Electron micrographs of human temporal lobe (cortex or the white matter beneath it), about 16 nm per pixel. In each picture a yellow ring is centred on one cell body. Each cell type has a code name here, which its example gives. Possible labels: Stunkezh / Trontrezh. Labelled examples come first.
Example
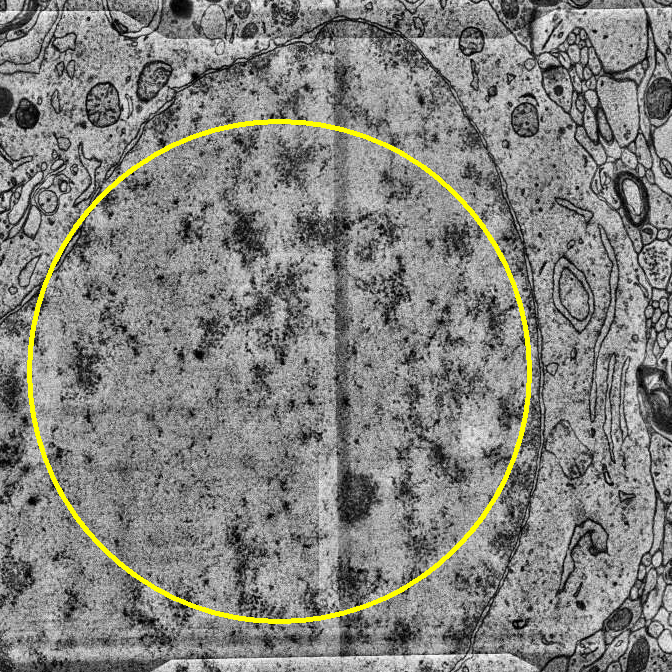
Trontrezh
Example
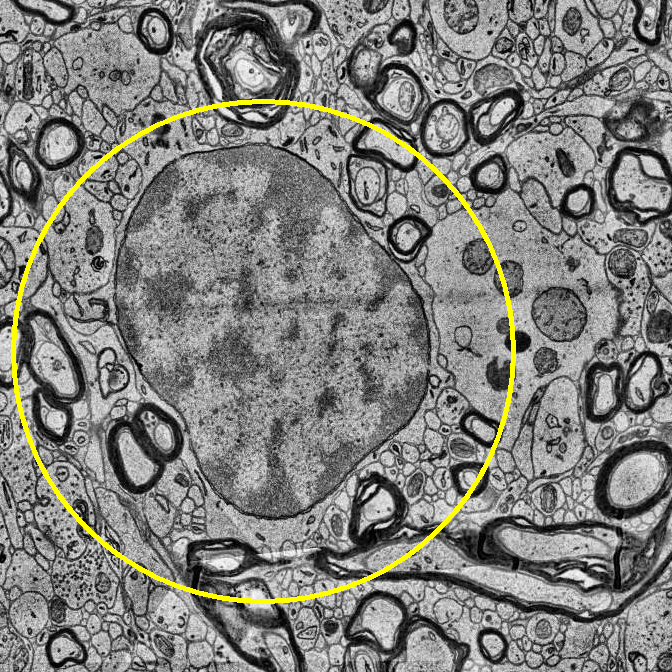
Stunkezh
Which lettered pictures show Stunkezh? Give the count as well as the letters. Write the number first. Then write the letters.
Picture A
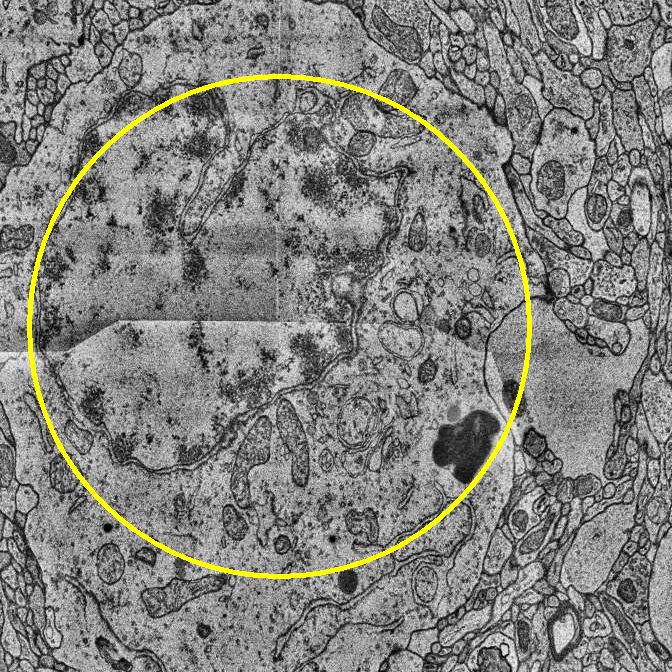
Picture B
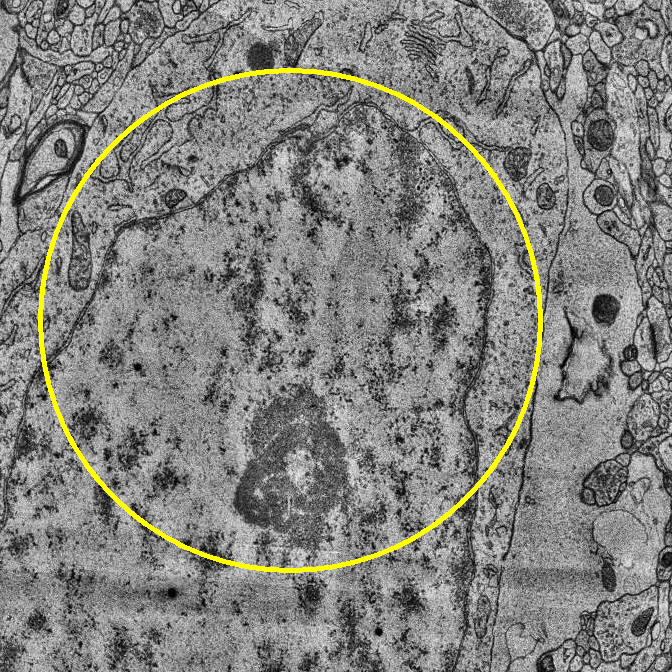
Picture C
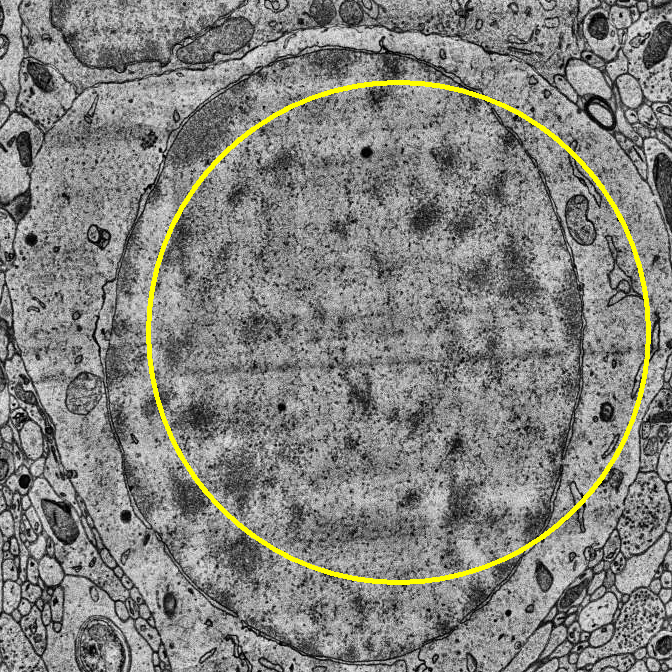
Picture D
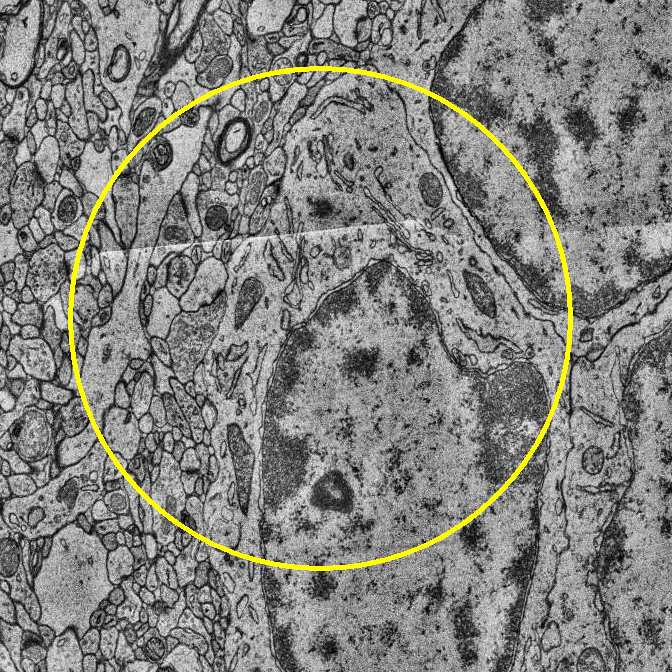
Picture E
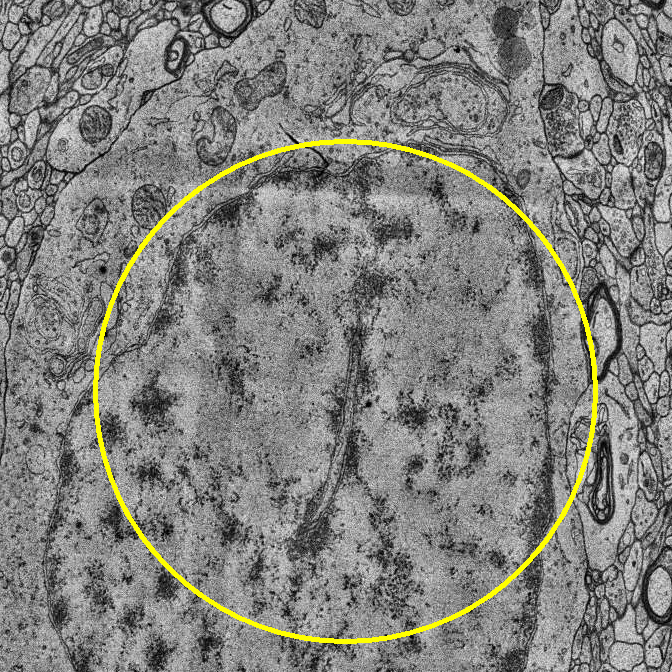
Count: 1 (D)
